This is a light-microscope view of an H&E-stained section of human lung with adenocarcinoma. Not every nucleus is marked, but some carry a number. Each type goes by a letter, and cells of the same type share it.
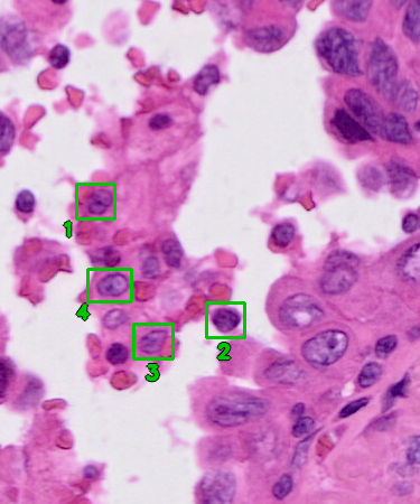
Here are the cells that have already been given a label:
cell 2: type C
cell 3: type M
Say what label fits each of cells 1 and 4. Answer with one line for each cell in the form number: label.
1: type M
4: type M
